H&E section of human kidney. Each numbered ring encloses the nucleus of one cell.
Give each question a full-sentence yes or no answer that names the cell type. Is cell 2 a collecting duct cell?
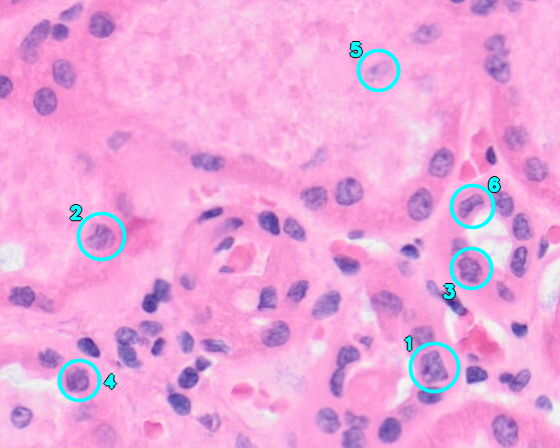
No, number 2 is not a collecting duct cell; it is a proximal tubule cell.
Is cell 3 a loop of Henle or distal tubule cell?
No, number 3 belongs to a collecting duct cell, not to a loop of Henle or distal tubule cell.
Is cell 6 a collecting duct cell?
Yes, within this section, cell number 6 is a collecting duct cell.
